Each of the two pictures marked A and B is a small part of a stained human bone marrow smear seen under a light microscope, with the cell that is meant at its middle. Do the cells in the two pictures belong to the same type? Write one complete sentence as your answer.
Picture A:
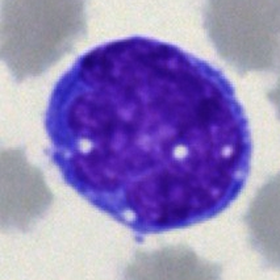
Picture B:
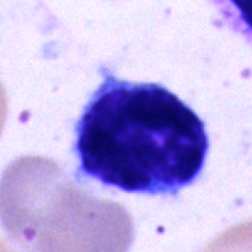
No, they differ: the cell is a monocyte in picture A and a lymphocyte in picture B.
